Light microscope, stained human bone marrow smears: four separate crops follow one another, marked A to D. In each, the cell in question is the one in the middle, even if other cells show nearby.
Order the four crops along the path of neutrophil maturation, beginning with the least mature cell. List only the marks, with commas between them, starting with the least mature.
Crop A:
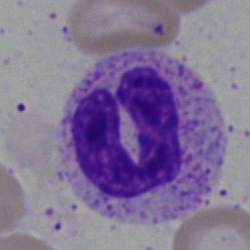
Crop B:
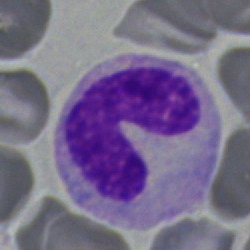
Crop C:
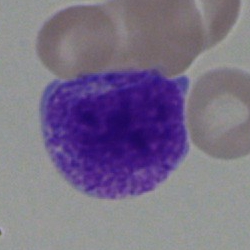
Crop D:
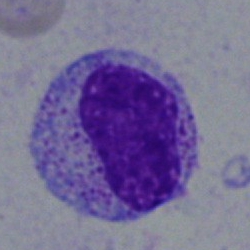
C, D, B, A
